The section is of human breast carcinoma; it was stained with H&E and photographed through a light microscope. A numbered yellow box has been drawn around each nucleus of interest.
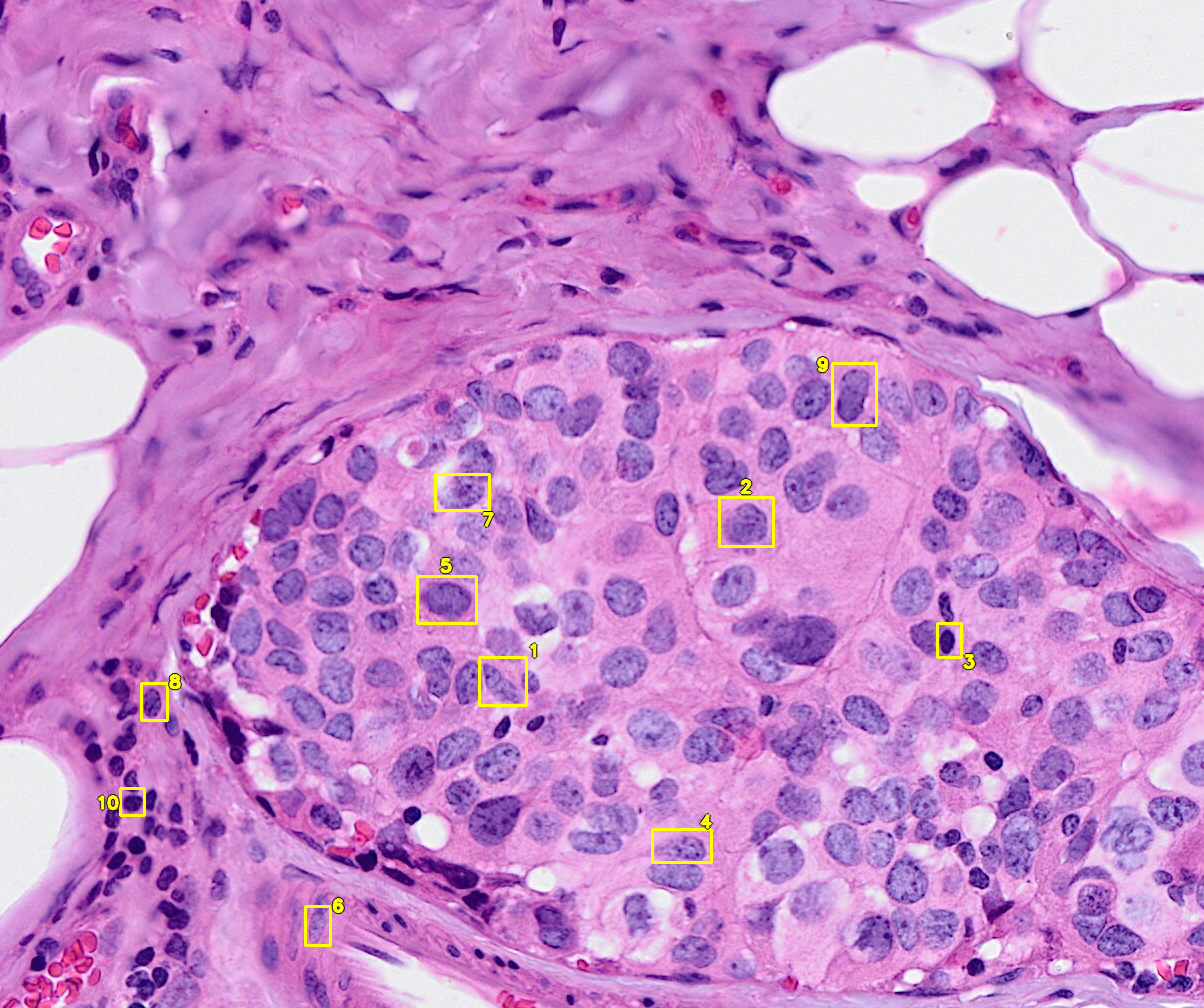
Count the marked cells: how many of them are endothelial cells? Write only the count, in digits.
1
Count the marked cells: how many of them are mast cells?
1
